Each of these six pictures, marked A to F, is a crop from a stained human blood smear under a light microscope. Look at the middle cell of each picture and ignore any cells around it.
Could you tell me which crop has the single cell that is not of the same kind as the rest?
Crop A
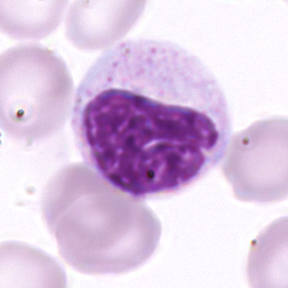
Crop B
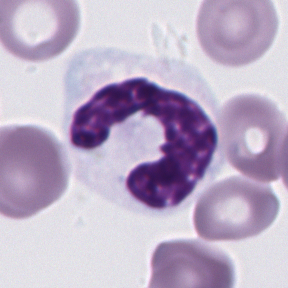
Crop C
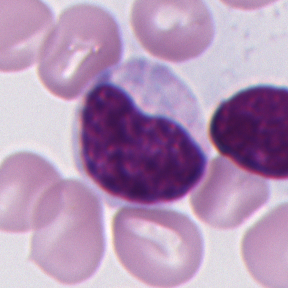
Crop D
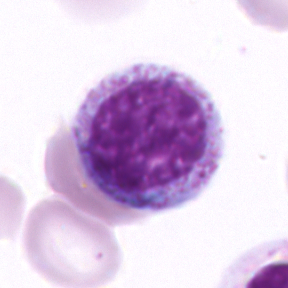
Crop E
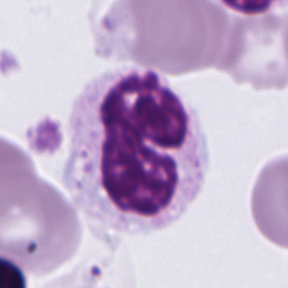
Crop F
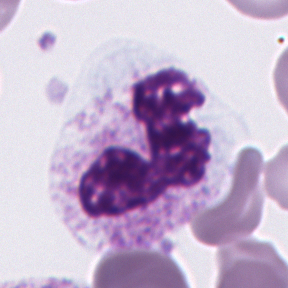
D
